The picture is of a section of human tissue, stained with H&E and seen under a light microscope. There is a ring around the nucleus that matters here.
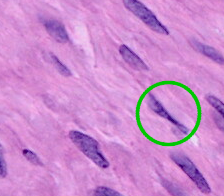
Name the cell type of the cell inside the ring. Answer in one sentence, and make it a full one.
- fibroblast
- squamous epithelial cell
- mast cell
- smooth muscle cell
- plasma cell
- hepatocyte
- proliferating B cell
In this preparation, the cell inside the ring is a fibroblast.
